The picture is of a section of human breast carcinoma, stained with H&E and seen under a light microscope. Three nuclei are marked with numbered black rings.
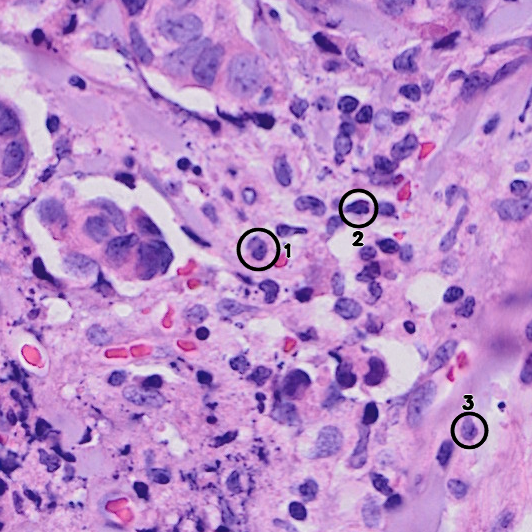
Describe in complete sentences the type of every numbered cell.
Cell 1 is a mast cell, cell 2 is a lymphocyte and cell 3 is a mast cell.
